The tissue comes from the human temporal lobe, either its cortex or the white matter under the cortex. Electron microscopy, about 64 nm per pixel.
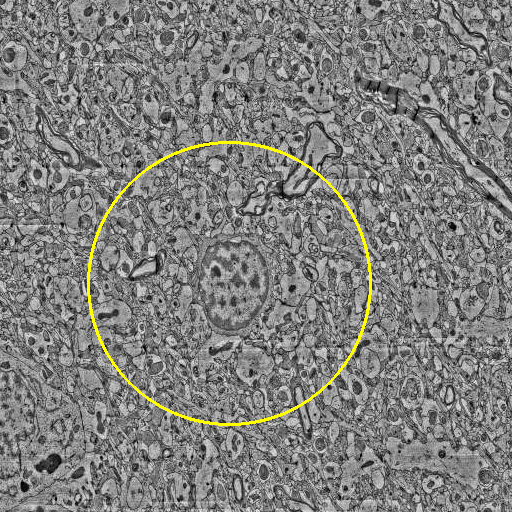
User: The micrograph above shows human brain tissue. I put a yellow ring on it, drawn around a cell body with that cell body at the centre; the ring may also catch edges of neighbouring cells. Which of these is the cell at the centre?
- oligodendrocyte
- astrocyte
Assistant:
oligodendrocyte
